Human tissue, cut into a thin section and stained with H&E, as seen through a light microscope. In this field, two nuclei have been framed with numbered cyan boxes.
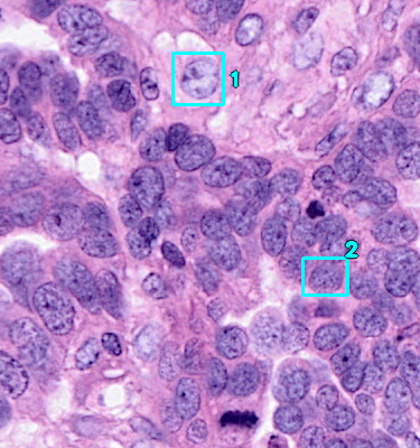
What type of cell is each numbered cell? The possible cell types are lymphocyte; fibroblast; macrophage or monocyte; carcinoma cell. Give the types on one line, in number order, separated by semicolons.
fibroblast; carcinoma cell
